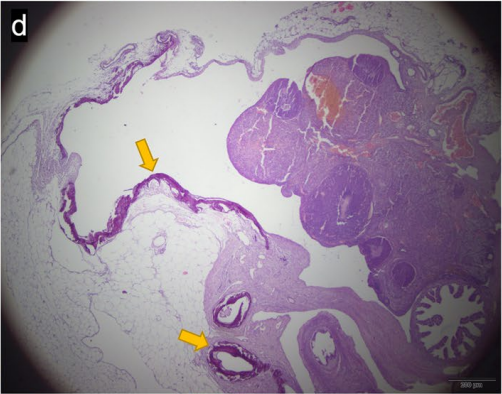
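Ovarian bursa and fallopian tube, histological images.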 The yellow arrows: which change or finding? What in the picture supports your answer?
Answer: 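The upper arrow points to a thin membrane lined by a dense, dark purple band. The lower arrow points to a small tubular structure with a dark purple rim around its lumen. The dark purple deposits stand out sharply from the paler pink-lilac tissue around them.
Areas of mineralization.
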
